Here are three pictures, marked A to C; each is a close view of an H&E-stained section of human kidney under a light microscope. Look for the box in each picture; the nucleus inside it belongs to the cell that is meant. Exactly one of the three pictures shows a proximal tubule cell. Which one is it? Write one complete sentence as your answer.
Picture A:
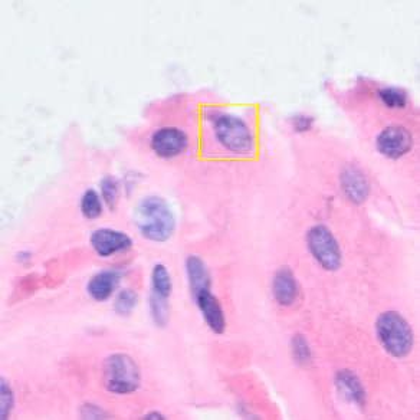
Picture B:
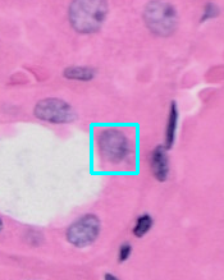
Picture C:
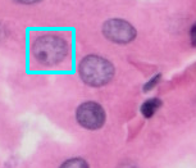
Picture C is the one that shows the proximal tubule cell.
